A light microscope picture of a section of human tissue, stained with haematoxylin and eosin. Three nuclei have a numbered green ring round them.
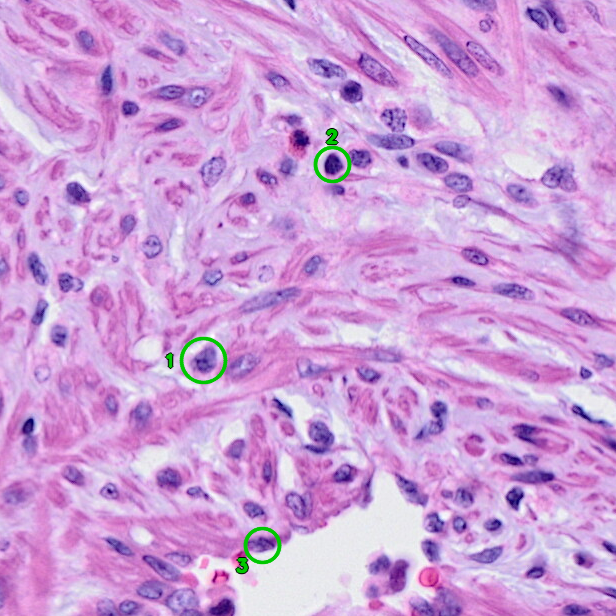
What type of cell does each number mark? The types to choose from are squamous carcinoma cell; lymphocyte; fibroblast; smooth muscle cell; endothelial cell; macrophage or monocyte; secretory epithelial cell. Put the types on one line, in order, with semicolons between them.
macrophage or monocyte; lymphocyte; endothelial cell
